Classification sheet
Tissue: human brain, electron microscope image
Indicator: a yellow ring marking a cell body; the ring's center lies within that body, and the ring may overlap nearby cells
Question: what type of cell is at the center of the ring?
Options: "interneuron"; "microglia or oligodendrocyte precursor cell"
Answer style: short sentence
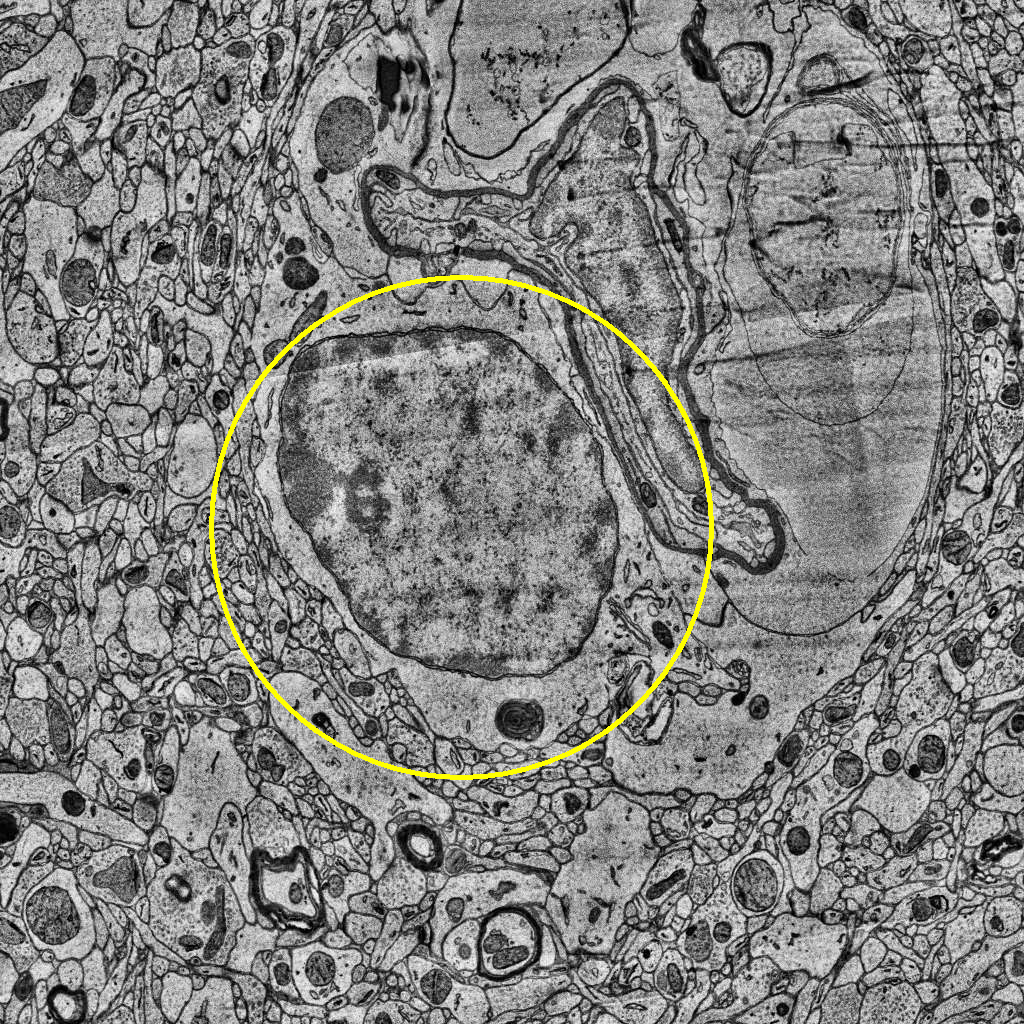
At the ring's center is a microglial cell or oligodendrocyte precursor cell.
